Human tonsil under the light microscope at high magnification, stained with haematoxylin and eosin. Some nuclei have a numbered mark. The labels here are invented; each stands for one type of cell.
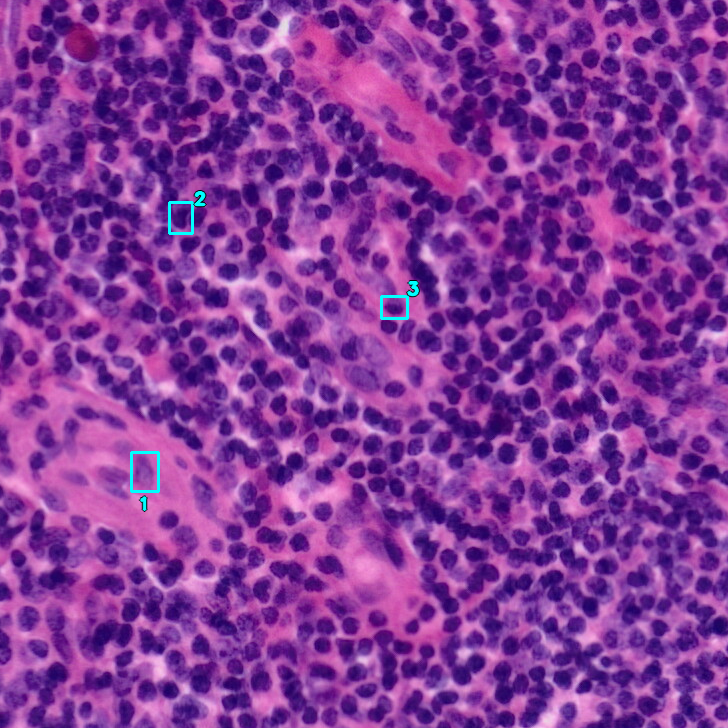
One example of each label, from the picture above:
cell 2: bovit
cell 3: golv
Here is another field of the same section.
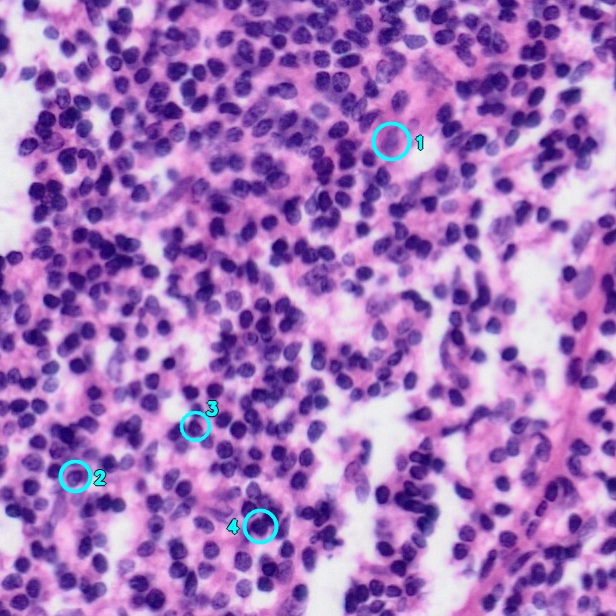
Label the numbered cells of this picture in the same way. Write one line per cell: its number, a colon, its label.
1: golv
2: bovit
3: bovit
4: bovit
